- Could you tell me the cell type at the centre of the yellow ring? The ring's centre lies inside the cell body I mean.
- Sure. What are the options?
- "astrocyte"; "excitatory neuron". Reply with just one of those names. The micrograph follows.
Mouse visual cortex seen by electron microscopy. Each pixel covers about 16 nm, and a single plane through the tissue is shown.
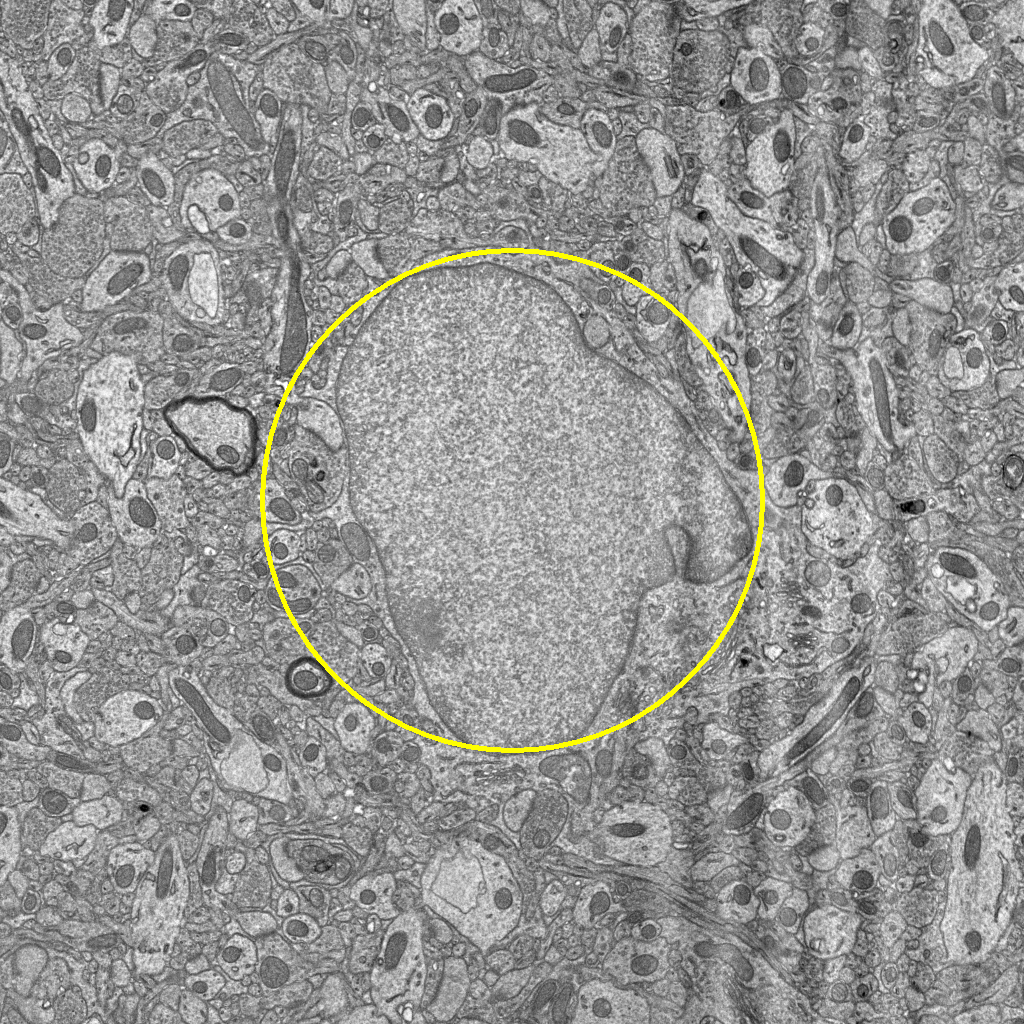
astrocyte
